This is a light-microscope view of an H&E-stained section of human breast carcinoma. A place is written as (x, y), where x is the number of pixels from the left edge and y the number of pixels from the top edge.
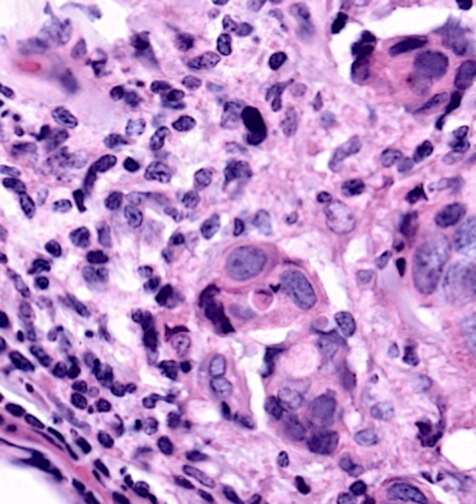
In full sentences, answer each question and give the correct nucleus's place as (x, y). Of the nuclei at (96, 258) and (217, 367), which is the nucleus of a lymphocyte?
The nucleus at (96, 258) is part of a lymphocyte, while the other is not.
